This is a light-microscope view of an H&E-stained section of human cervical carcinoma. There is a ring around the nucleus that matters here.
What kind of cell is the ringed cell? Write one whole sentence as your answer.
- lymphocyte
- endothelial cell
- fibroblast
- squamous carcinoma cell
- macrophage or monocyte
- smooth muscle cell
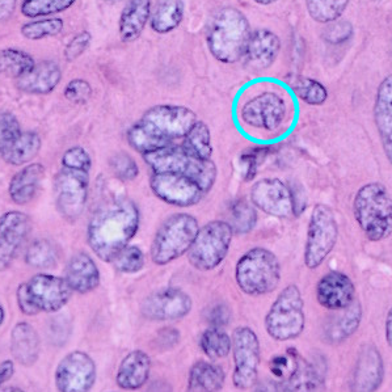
In the tissue at hand, the ringed cell is a squamous carcinoma cell.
